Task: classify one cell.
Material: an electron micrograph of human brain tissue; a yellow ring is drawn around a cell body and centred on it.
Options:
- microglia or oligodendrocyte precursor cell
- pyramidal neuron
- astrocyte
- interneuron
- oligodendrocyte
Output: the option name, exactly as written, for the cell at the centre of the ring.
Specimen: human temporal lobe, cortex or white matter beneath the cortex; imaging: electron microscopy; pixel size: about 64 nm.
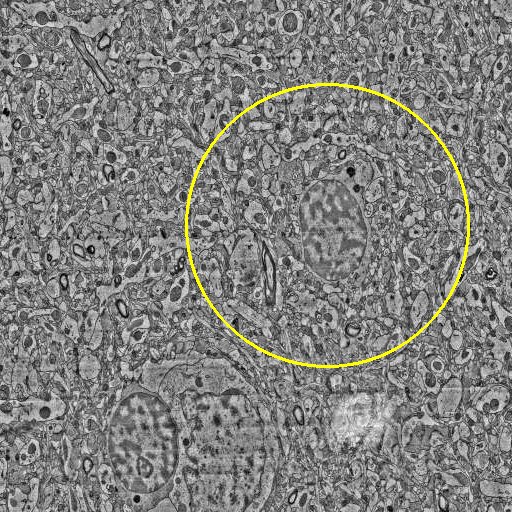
oligodendrocyte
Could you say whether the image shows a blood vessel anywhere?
No, there is no blood vessel.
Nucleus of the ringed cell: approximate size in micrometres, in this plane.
In this plane the nucleus is clearly longer than it is wide, at approximately 6 by 4 micrometres.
